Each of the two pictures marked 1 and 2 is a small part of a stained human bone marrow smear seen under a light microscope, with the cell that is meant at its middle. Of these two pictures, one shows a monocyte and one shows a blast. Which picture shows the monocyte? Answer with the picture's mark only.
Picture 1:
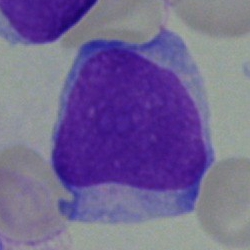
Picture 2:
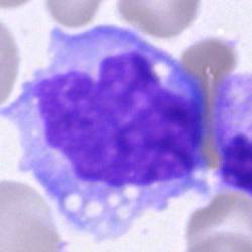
2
